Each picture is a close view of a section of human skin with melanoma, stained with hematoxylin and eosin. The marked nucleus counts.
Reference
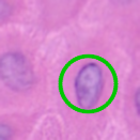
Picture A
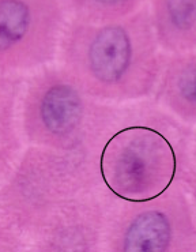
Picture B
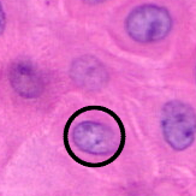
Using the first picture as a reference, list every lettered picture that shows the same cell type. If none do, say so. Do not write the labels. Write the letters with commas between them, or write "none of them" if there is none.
A, B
